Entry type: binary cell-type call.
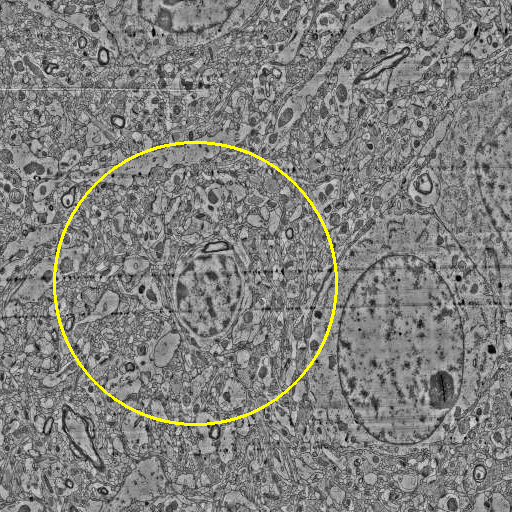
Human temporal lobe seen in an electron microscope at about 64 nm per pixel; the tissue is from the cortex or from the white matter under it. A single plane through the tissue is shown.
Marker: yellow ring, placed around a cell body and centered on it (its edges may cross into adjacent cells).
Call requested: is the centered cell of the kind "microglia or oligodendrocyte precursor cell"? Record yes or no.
yes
